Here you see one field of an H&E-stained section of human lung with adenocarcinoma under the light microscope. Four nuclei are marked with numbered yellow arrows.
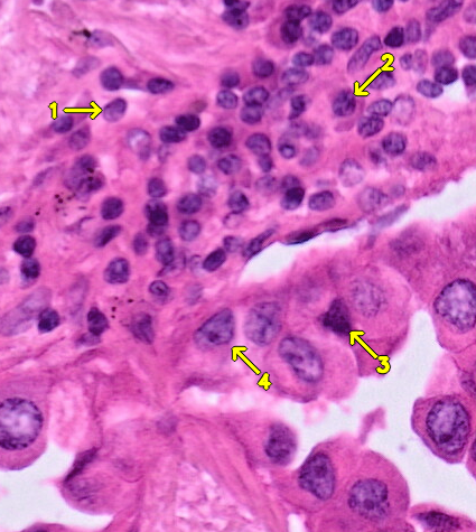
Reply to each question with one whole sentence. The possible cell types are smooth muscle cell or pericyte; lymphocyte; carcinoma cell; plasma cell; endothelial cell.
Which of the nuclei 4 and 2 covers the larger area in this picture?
It is nucleus 4, which covers about 2.5 times the area of nucleus 2.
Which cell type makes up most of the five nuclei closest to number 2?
The majority of the five nuclei closest to number 2 belong to lymphocytes.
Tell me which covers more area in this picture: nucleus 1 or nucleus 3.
It is nucleus 3, which covers about 2 times the area of nucleus 1.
